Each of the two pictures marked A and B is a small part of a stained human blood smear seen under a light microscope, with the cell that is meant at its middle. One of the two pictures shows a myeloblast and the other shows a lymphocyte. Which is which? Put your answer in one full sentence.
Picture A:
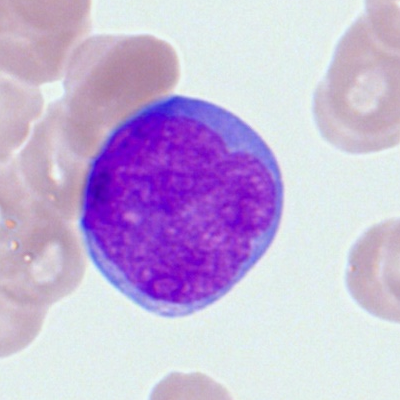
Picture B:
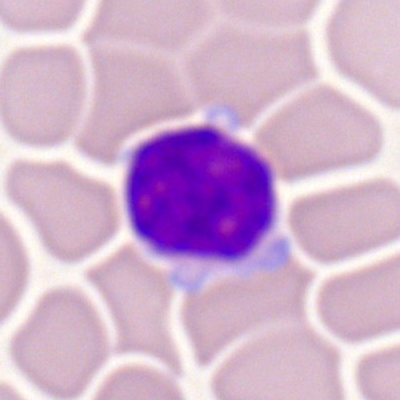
In picture A the cell is a myeloblast; in picture B, a lymphocyte.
